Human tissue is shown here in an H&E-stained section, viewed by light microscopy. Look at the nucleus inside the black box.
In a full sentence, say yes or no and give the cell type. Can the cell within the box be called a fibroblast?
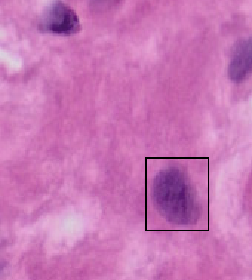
Yes, the identification of the cell within the box as a fibroblast stands.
